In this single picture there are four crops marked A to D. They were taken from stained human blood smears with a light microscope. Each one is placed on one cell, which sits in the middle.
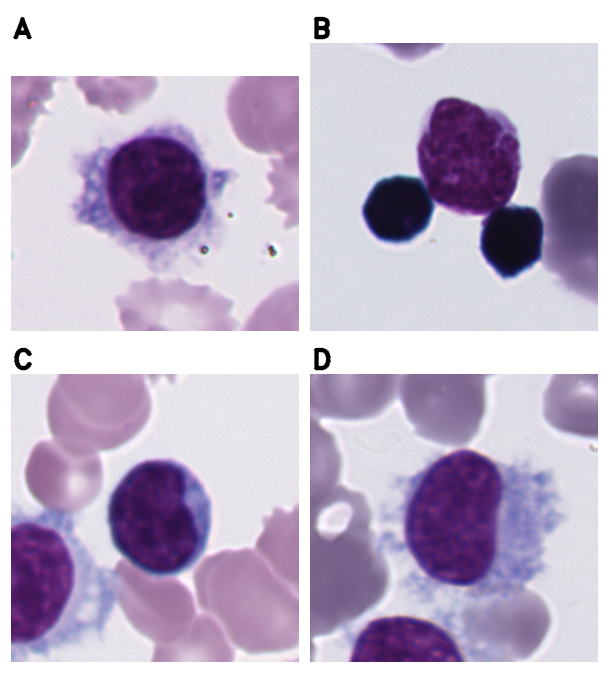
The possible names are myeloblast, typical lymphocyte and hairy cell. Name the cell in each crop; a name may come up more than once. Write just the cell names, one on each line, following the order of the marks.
hairy cell
myeloblast
typical lymphocyte
hairy cell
